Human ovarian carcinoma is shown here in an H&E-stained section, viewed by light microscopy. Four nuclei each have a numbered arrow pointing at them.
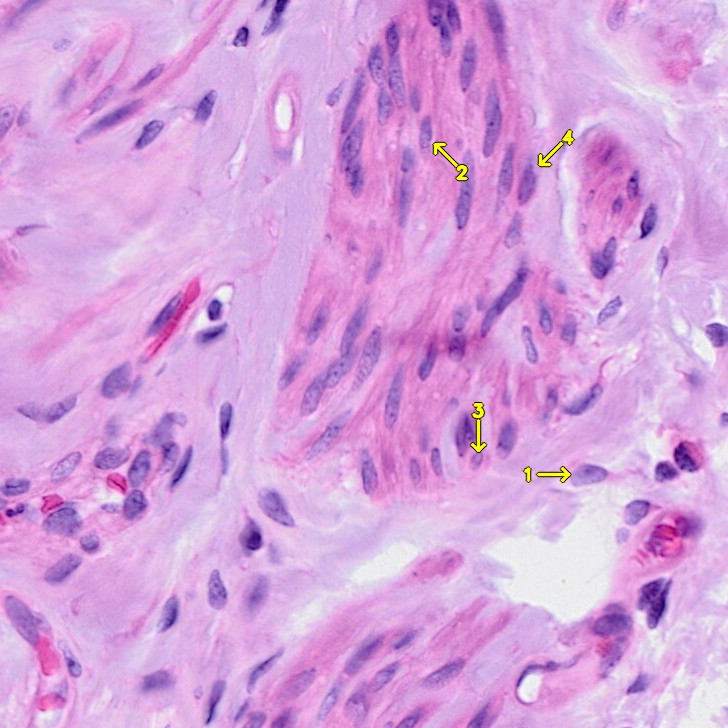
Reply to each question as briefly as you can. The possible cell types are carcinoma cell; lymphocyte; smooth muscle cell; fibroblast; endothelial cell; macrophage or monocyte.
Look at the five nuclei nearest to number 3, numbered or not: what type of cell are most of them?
smooth muscle cell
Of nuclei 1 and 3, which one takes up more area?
1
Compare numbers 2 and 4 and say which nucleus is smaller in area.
2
